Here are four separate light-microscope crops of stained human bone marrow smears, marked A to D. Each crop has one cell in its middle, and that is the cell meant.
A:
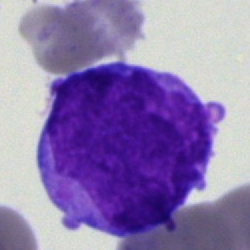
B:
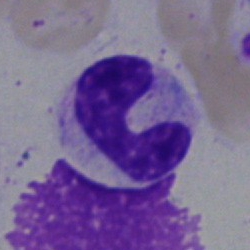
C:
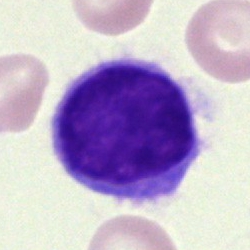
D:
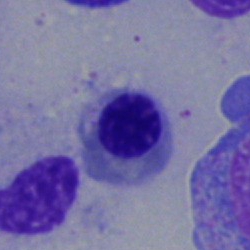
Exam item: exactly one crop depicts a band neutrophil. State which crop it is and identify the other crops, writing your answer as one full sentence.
Crop B is identified as a band neutrophil, whereas crop A is a blast, crop C is a hairy cell and crop D is a normoblast.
